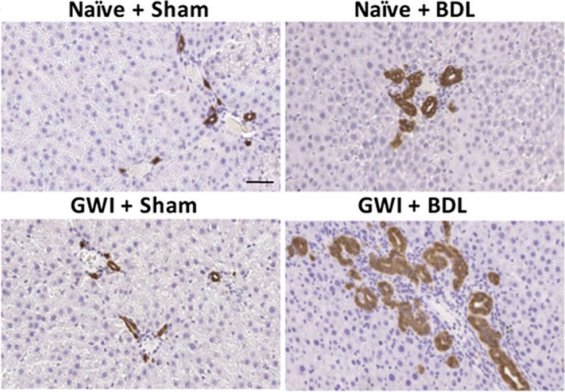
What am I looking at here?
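These four fields of liver show brown-stained bile ducts lined by cholangiocytes set among plates of unstained hepatocytes with blue nuclei. In two fields only a few small brown ducts appear beside portal vessels. In the other two fields the brown ducts are more numerous and larger, crowded together in the portal areas. The lower right field shows the most extensive change, with many tortuous brown ductal profiles forming a broad band surrounded by small blue-nucleated cells. Elsewhere the hepatocytes keep their normal plate arrangement.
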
